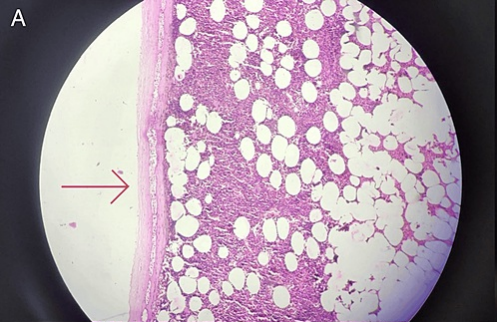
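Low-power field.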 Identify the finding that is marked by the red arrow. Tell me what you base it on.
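Adrenal gland compressed to the periphery. The arrow points to a thin band of tissue at the edge of the section. Densely cellular tissue with many fat spaces lies inward of the band.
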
